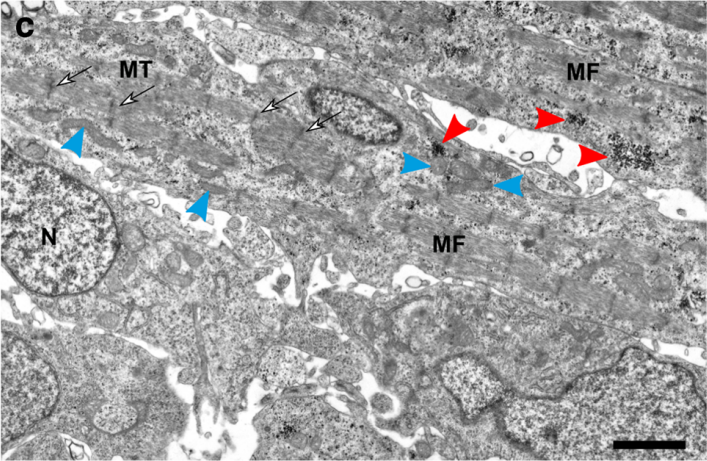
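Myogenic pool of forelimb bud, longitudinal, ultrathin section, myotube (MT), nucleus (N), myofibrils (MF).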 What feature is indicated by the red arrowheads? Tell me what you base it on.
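Clusters of small electron-dense black granules. They lie at the edge of the cytoplasm near a clear space. So: glycogen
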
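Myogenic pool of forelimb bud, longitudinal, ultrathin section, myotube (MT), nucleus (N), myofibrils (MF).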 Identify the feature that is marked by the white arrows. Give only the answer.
Z lines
